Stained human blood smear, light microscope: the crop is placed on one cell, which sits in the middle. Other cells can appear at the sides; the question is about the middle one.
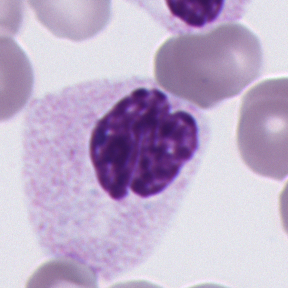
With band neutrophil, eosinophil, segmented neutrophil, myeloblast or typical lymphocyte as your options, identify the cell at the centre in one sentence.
As for the central cell, it is a segmented neutrophil.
